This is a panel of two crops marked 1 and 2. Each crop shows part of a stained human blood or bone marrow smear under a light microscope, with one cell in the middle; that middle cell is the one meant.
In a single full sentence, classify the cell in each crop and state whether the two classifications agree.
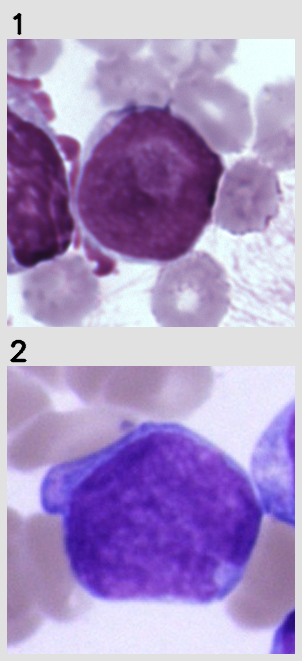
Yes, both crops have blasts at the centre.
